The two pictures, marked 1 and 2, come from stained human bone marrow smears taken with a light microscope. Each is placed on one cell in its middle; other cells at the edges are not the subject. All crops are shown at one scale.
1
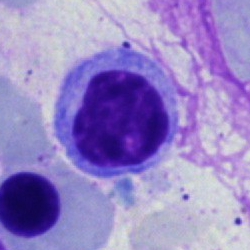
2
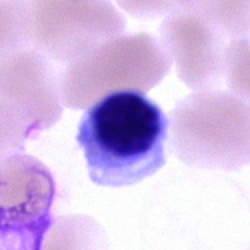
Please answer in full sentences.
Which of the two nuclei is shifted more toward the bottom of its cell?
Seen within its cell, the nucleus in picture 1 lies further toward the bottom.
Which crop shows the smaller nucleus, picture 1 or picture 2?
The nucleus in picture 2 is smaller; the one in picture 1 has about 2.5 times its area.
